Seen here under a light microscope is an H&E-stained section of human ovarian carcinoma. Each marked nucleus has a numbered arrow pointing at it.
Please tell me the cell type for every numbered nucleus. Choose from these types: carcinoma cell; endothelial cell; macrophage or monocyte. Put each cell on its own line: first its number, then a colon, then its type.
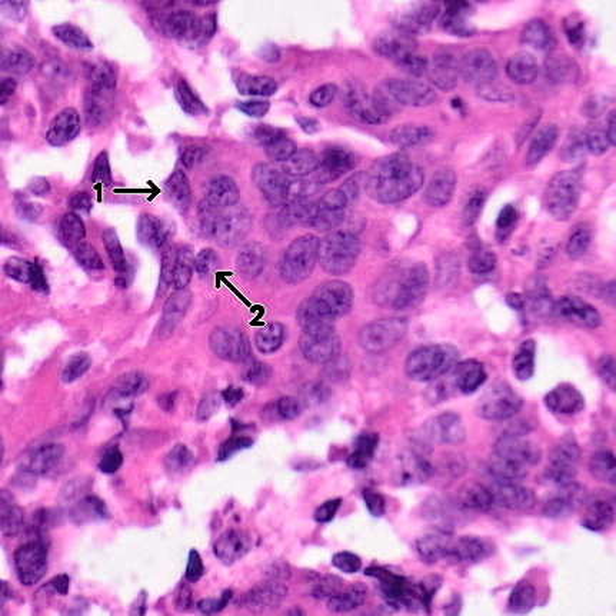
1: carcinoma cell
2: macrophage or monocyte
